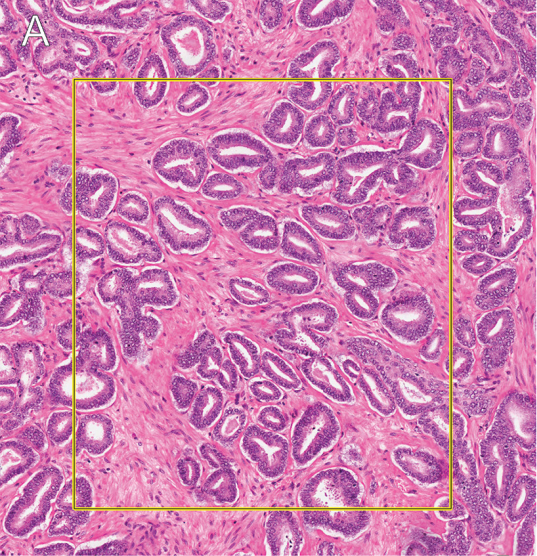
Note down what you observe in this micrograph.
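Prostate tissue with malignant glands infiltrating fibromuscular stroma. Many small, discrete, rounded to elongated glands are scattered through broad bands of pink fibromuscular stroma, which contains spindle-shaped nuclei. Each gland is lined by a crowded layer of cells with purple, rounded nuclei and pale pink cytoplasm, surrounding a narrow, often slit-like or irregular white lumen. No glands are fused into sheets, and the lumina occupy only a small share of the tissue.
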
